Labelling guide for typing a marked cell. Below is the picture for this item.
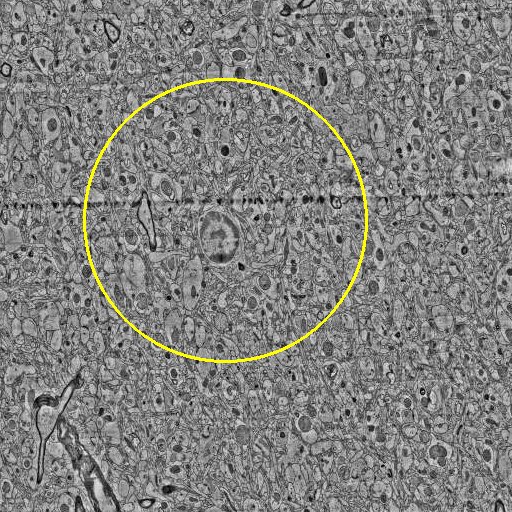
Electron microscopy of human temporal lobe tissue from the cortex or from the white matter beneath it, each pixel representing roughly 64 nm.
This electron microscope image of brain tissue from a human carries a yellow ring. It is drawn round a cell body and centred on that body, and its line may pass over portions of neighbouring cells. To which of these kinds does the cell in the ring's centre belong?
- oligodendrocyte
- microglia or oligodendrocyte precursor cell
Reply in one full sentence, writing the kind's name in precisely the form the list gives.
Here we have a microglial cell or oligodendrocyte precursor cell at the centre of the yellow ring in the picture.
